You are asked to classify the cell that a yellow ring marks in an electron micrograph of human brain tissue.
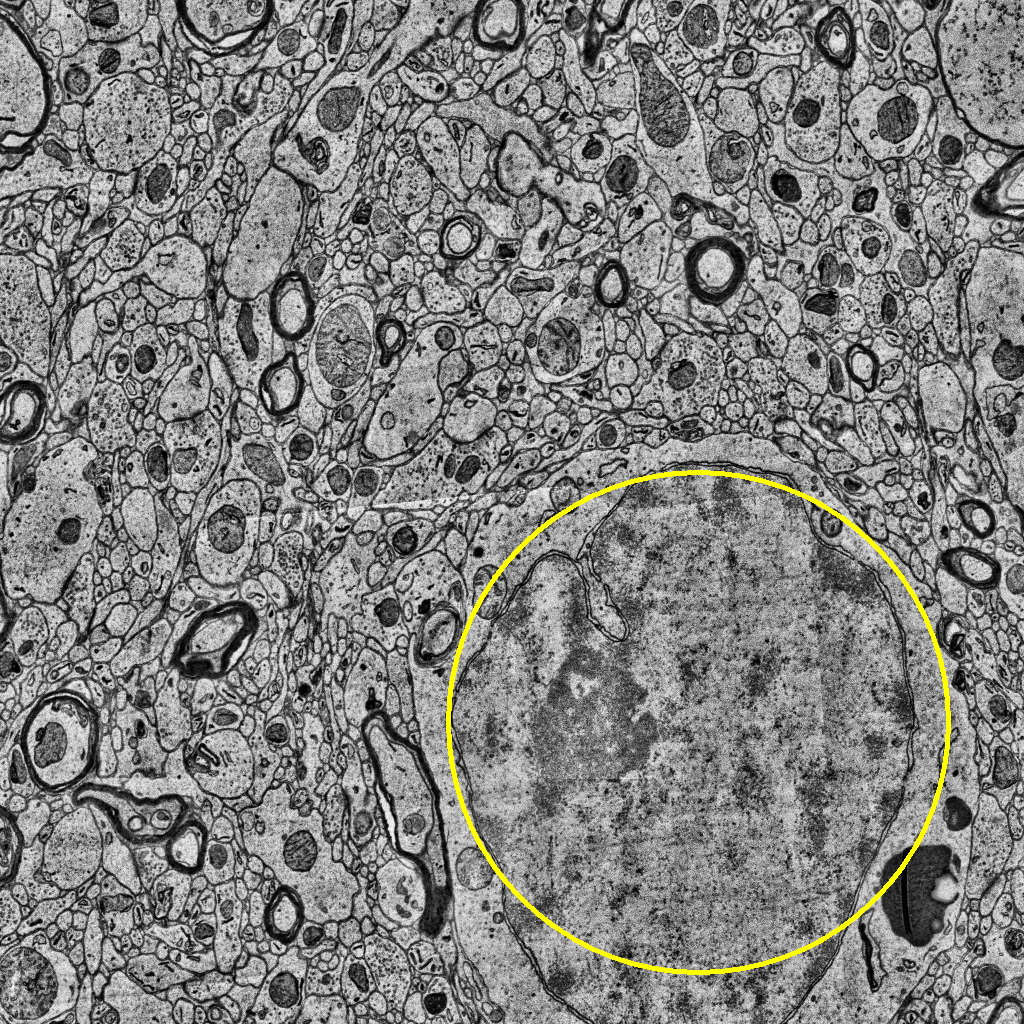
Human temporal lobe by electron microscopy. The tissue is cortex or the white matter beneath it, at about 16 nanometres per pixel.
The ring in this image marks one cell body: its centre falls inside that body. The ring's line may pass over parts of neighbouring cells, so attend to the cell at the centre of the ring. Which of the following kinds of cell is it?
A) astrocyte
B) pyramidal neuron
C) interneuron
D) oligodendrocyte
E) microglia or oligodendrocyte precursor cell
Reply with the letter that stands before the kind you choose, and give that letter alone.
C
